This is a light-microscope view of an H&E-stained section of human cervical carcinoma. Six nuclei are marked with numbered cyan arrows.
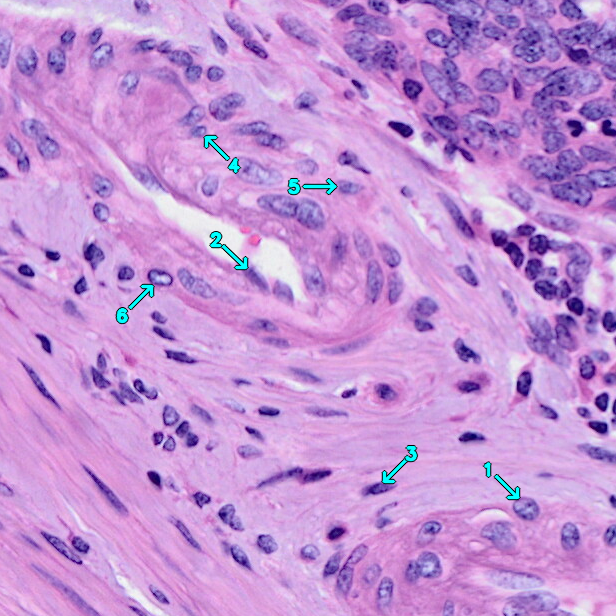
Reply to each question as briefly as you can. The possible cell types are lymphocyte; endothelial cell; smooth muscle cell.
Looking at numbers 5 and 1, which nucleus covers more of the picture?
1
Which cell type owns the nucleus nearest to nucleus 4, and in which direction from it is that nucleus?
a smooth muscle cell above and to the left of nucleus 4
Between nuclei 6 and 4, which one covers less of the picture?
4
